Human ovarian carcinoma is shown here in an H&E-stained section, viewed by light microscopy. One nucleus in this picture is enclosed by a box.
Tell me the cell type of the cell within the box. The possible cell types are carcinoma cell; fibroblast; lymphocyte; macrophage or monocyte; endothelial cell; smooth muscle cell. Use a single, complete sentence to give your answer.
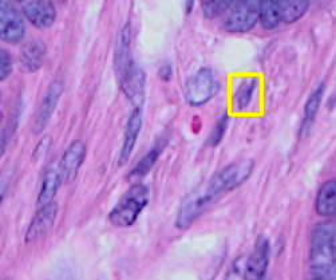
Among the cells in this section, the cell within the box is a fibroblast.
